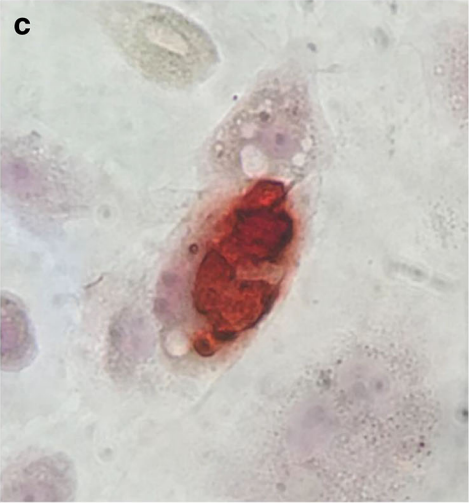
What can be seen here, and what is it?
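Here we look at cultured cells, and one of them, in the centre, has become a fat-storing cell. Its cytoplasm is packed with a clump of rounded droplets stained intense red-orange, crowded together so that they almost merge into one mass. Around this clump the cell's own cytoplasm is pale pink, with a few small clear vacuoles near its edge. The neighbouring cells are flat and pale, with faintly granular cytoplasm and washed-out nuclei, and carry no red droplets. The contrast between the single loaded cell and its unstained neighbours is the thing to notice.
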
